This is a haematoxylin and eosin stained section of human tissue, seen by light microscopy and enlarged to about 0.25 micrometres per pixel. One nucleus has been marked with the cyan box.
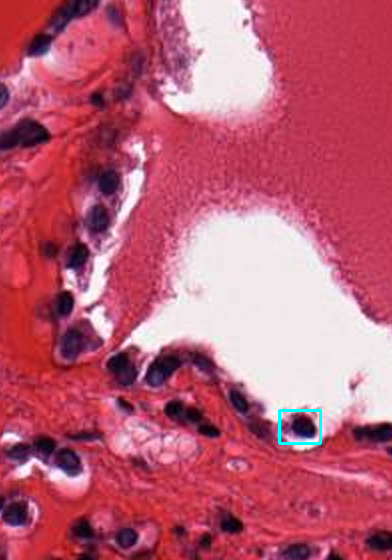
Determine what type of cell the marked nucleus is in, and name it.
thyroid follicular cell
